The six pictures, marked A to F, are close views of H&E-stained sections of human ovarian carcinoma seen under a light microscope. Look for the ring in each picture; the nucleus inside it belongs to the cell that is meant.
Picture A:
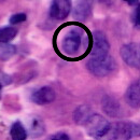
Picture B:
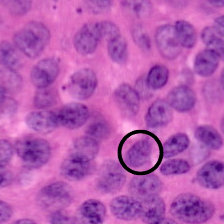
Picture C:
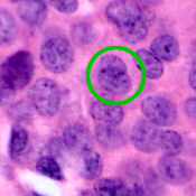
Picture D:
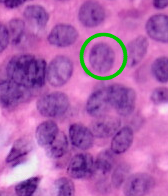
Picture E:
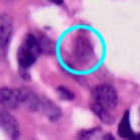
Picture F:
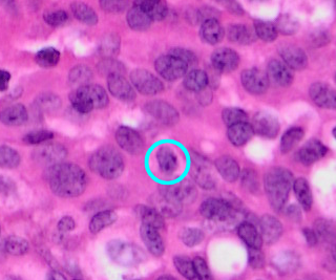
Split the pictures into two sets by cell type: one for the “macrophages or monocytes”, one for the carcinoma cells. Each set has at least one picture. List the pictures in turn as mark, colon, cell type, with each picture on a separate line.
A: macrophage or monocyte
B: carcinoma cell
C: carcinoma cell
D: carcinoma cell
E: carcinoma cell
F: macrophage or monocyte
